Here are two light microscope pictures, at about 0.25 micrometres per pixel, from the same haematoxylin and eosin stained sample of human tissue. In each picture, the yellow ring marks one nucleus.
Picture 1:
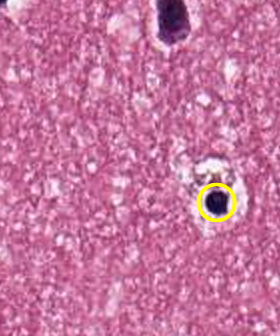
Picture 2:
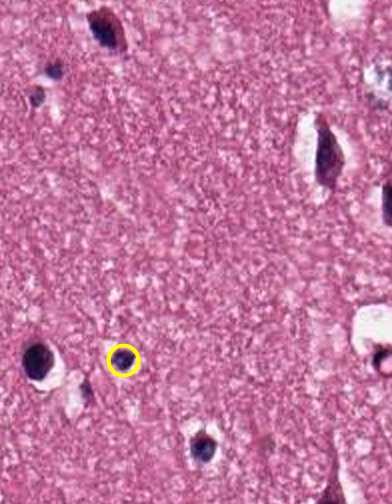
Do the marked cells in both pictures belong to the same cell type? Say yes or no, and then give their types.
Yes, both are oligodendrocytes.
